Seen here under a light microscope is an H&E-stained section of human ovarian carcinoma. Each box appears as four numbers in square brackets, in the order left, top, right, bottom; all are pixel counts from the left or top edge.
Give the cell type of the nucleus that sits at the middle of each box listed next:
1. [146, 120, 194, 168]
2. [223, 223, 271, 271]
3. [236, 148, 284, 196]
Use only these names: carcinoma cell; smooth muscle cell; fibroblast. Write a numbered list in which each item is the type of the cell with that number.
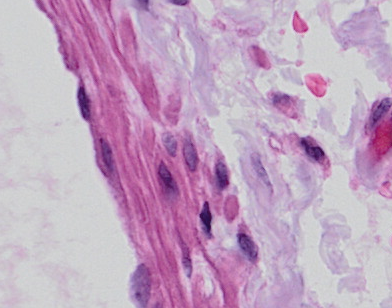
1. smooth muscle cell
2. fibroblast
3. fibroblast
